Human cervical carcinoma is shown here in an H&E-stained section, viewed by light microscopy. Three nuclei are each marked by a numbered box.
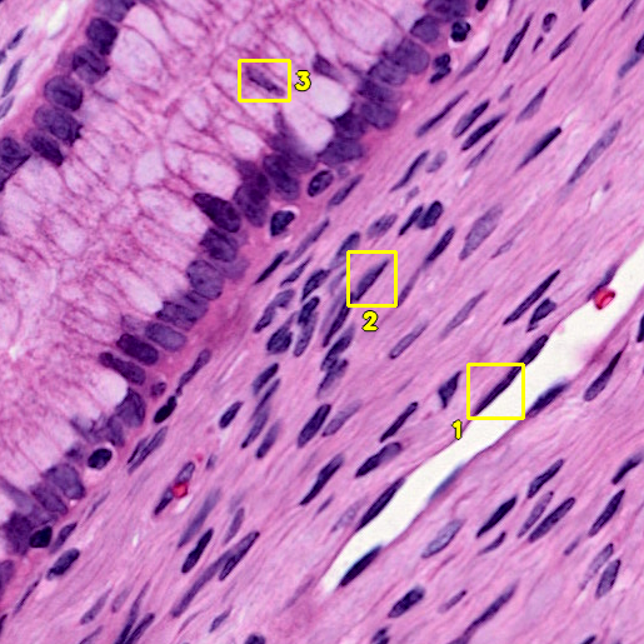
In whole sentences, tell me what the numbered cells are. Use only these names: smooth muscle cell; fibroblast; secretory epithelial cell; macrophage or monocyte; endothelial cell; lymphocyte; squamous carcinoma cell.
Cell 1 is an endothelial cell. Cell 2 is a fibroblast. Cell 3 is a secretory epithelial cell.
